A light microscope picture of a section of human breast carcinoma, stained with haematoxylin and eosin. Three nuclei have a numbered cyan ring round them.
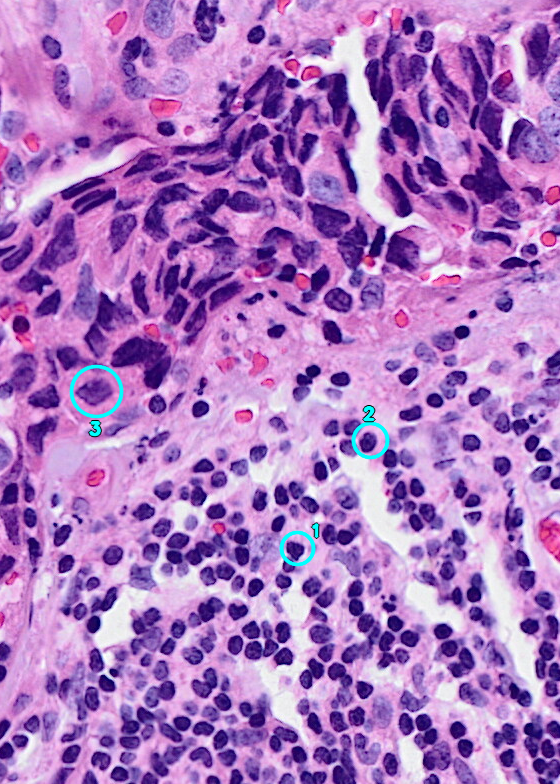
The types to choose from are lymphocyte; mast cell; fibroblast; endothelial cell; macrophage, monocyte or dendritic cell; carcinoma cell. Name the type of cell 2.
lymphocyte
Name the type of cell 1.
lymphocyte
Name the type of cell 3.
carcinoma cell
